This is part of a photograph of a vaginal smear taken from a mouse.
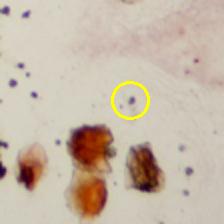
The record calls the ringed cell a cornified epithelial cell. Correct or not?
Not correct; it is a leukocyte.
